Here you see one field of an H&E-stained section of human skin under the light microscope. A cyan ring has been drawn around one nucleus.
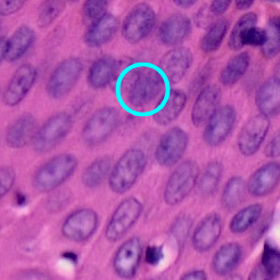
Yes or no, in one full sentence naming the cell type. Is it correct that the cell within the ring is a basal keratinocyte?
No. Look again: the cell within the ring is a suprabasal keratinocyte, not a basal keratinocyte.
